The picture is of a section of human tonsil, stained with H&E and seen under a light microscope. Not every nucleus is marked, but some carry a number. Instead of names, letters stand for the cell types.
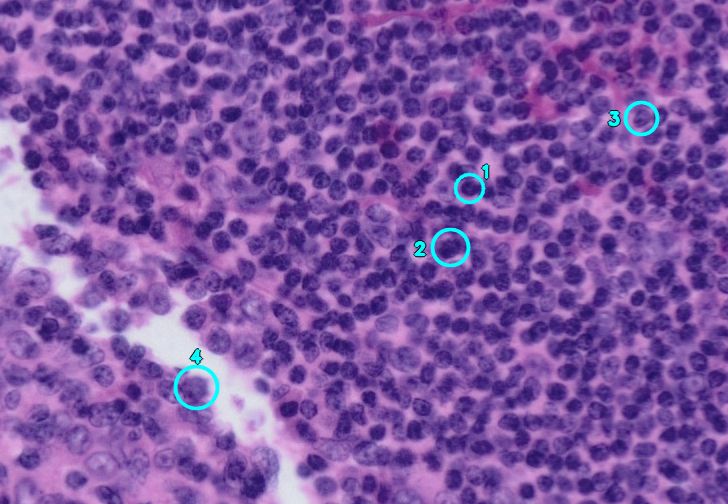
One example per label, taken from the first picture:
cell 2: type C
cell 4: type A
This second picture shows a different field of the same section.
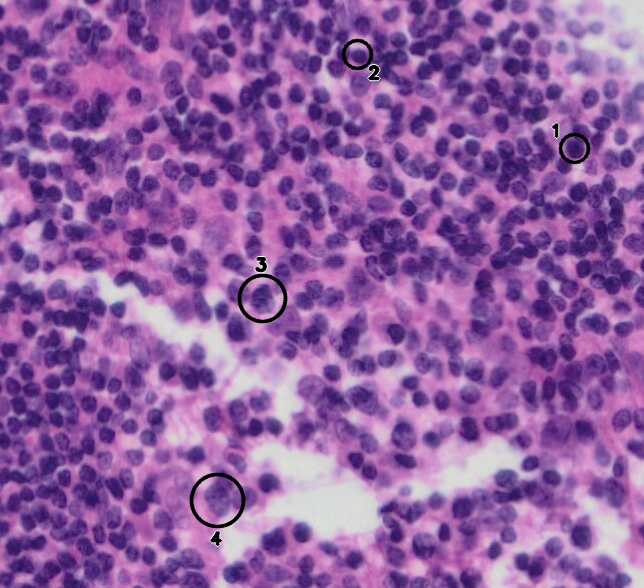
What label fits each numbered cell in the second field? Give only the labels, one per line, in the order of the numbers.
type C
type C
type A
type A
